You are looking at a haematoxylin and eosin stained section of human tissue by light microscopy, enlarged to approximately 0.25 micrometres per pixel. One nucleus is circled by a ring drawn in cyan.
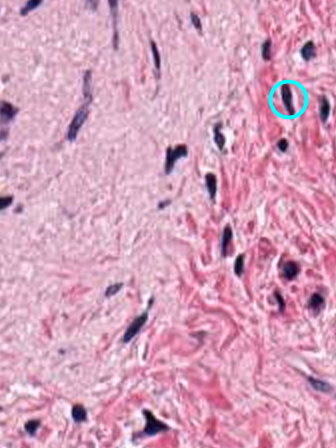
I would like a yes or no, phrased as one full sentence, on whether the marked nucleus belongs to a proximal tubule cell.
No, the cell that carries the marked nucleus is a supporting cell, not a proximal tubule cell.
